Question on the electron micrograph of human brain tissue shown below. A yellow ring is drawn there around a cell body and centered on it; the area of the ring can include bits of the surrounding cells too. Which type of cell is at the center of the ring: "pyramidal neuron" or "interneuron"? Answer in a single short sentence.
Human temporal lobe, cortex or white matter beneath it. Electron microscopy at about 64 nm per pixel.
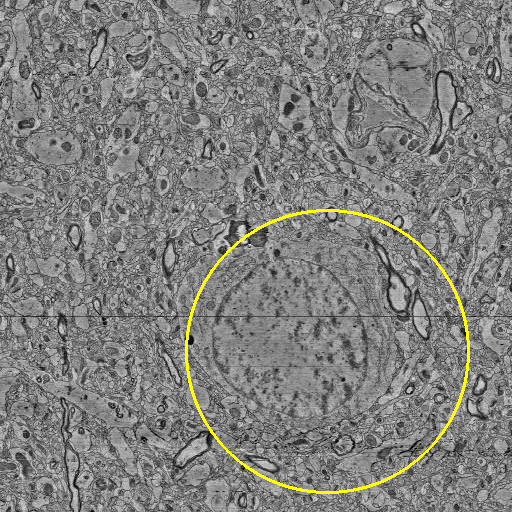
The ring is centered on an interneuron.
